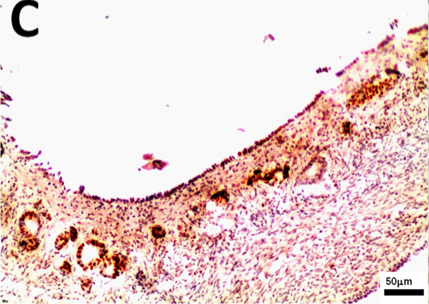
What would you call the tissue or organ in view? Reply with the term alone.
Endometrium.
